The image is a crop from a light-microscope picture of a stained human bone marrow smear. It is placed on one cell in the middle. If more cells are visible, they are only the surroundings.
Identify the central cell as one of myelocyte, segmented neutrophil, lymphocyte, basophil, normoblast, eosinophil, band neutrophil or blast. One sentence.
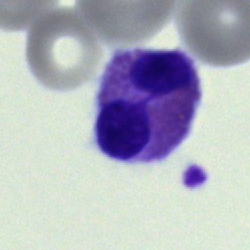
Centrally within this crop lies an eosinophil.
